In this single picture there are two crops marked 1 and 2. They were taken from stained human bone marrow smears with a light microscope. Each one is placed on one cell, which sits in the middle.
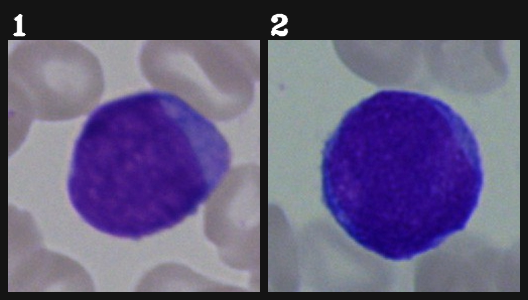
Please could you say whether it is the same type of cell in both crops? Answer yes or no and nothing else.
yes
